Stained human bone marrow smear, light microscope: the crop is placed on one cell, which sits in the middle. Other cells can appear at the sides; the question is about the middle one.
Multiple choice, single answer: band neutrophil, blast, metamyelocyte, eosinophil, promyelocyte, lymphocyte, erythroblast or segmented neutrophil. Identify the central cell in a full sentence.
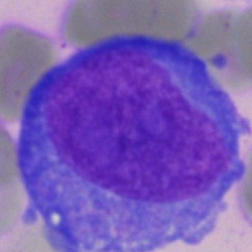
In this smear crop, the middle cell is a blast.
